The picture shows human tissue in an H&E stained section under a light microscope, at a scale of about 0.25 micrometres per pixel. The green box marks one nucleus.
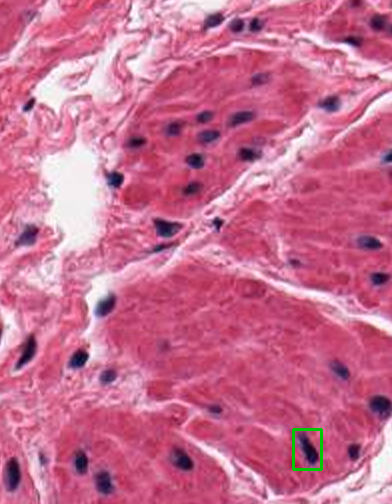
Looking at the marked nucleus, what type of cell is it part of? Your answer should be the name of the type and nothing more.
smooth muscle cell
